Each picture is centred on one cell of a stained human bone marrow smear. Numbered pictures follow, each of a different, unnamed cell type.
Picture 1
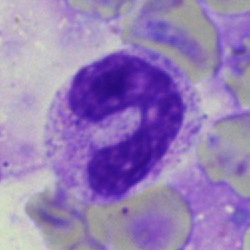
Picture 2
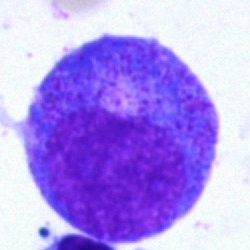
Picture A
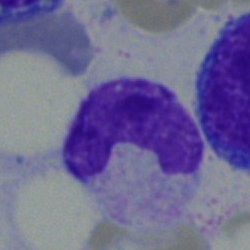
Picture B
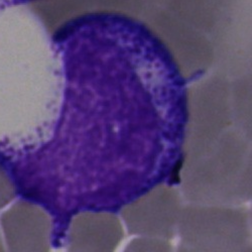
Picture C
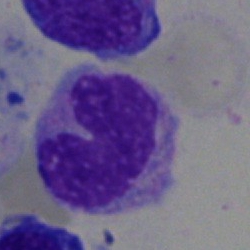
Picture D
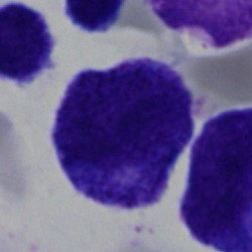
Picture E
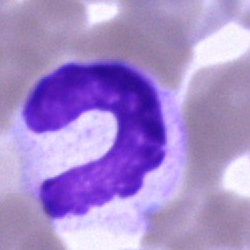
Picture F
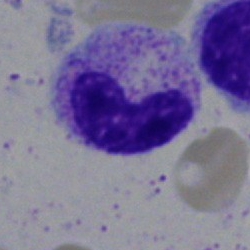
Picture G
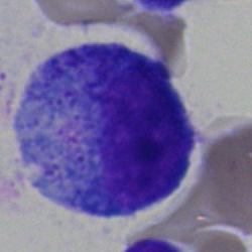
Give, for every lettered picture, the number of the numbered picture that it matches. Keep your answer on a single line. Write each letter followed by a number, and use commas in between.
A 1, B 2, C 1, D 2, E 1, F 1, G 2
